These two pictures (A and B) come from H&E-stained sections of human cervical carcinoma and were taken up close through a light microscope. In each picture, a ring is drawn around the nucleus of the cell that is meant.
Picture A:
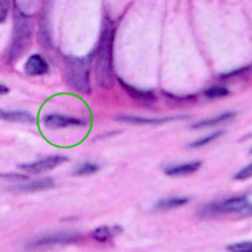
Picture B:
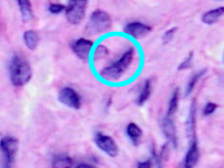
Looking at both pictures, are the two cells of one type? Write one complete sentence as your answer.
Yes, both are fibroblasts.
